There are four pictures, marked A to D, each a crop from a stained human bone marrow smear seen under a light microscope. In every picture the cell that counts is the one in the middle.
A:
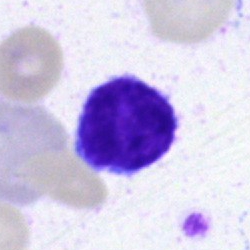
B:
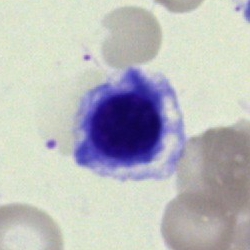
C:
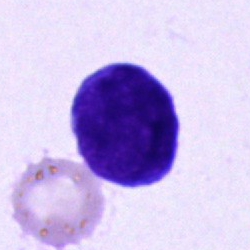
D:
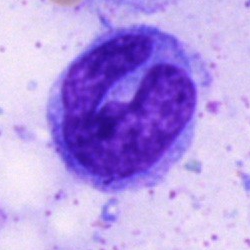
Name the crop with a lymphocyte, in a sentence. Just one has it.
Selected crop: A, which is the one that shows a lymphocyte.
